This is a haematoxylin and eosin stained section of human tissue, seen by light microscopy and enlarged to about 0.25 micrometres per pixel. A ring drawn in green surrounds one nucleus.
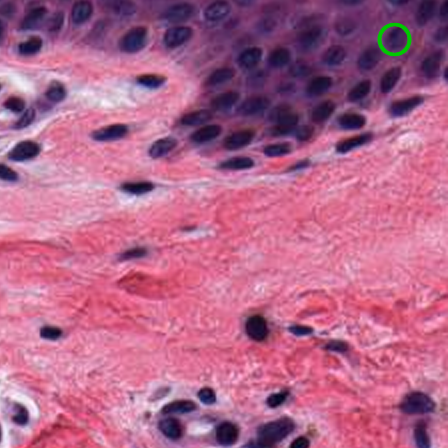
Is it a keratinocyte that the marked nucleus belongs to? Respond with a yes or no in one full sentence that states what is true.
Yes, a keratinocyte is the cell that the marked nucleus belongs to.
